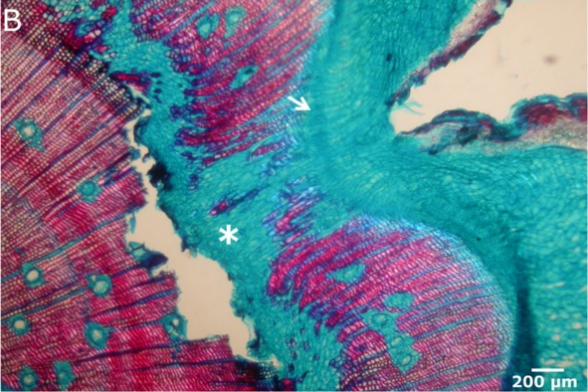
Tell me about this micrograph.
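Cross section of a woody stem at a closed wound, showing xylem, vascular cambium and outer tissues. At the left, red-stained wood of radial files of thick-walled cells with blue-green rays borders an open gap. A broad blue-green band of thin-walled, rounded parenchymatous cells runs through the middle, with red-stained thick-walled cells in radial rows on both sides, arranged in a rounded lobe below. At their outer edge a thin layer of small flattened cells joins into a continuous line. Beyond it, blue-green thin-walled tissue extends to the surface, where a dark outer layer lines a gap at the upper right.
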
